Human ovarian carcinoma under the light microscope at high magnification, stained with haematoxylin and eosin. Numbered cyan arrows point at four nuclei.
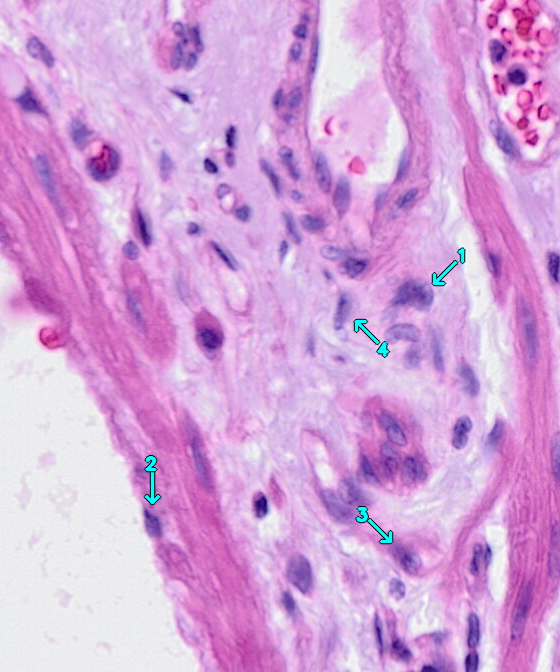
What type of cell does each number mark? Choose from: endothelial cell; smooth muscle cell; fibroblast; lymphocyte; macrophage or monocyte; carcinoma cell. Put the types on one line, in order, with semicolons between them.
fibroblast; endothelial cell; endothelial cell; fibroblast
